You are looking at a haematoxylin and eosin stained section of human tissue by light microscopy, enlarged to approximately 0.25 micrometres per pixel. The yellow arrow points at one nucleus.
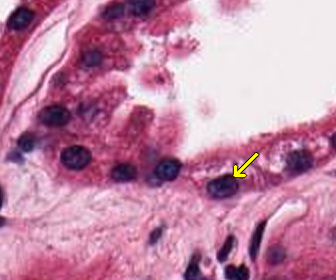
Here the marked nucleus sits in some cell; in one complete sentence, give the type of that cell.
Within a proximal tubule cell lies the marked nucleus.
